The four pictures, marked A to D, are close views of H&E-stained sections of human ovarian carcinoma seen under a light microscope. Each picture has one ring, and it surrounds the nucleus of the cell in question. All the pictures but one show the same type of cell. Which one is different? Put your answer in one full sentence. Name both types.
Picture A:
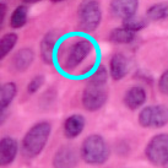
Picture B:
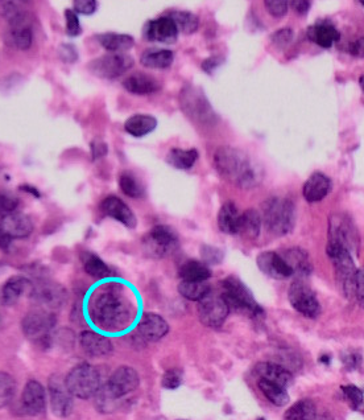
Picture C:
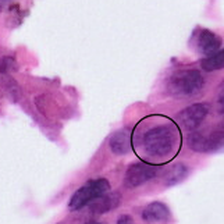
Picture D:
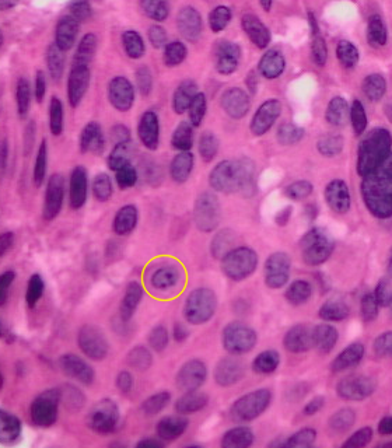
Picture D differs, because its cell is a “macrophage or monocyte” and the rest are carcinoma cells.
